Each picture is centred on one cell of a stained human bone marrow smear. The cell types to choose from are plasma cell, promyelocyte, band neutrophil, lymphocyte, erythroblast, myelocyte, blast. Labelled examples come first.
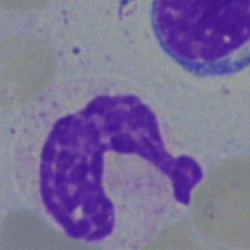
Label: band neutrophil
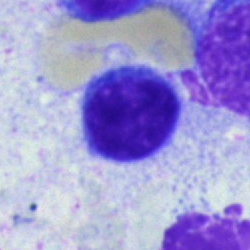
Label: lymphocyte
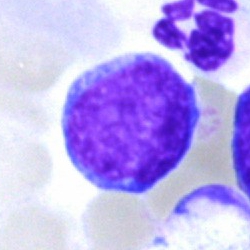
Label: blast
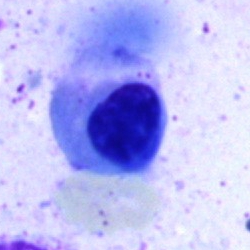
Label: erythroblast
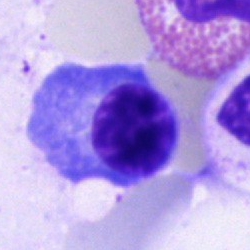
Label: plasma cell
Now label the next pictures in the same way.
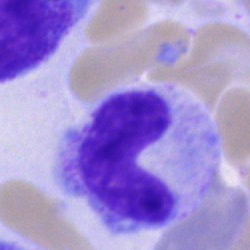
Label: band neutrophil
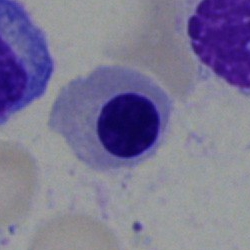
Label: erythroblast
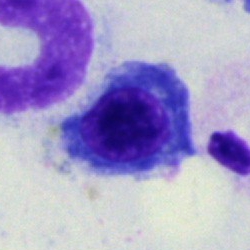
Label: erythroblast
